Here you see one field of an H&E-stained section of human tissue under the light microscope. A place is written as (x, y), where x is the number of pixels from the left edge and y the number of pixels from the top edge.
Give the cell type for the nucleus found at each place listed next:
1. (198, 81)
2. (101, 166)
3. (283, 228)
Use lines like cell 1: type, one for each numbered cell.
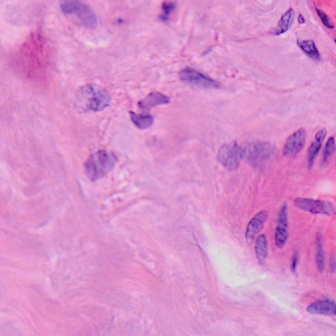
cell 1: fibroblast
cell 2: fibroblast
cell 3: endothelial cell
